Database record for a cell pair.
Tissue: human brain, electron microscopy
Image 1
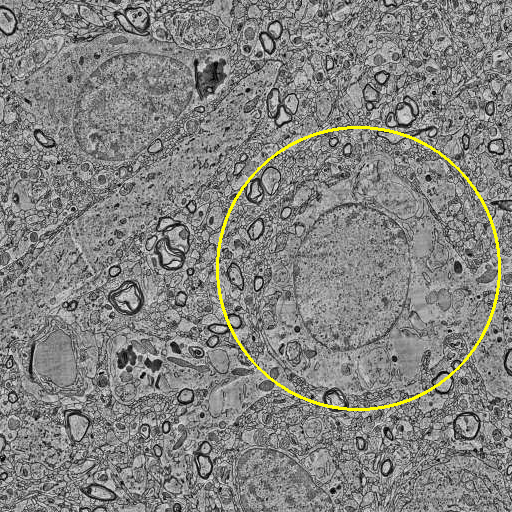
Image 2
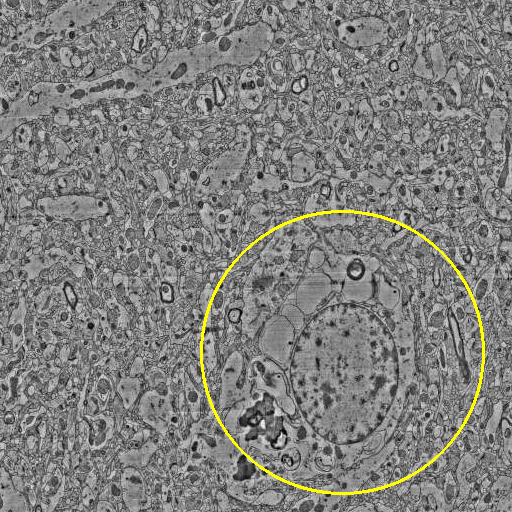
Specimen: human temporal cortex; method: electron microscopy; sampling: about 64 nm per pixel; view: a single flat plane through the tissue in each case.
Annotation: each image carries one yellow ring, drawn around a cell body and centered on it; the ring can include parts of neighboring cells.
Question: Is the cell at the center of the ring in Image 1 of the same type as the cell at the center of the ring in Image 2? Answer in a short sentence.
Yes, the cells are of the same type.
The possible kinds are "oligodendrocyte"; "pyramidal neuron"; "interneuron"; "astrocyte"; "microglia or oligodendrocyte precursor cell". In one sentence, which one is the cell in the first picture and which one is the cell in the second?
Each cell at the centre of a ring is an astrocyte.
